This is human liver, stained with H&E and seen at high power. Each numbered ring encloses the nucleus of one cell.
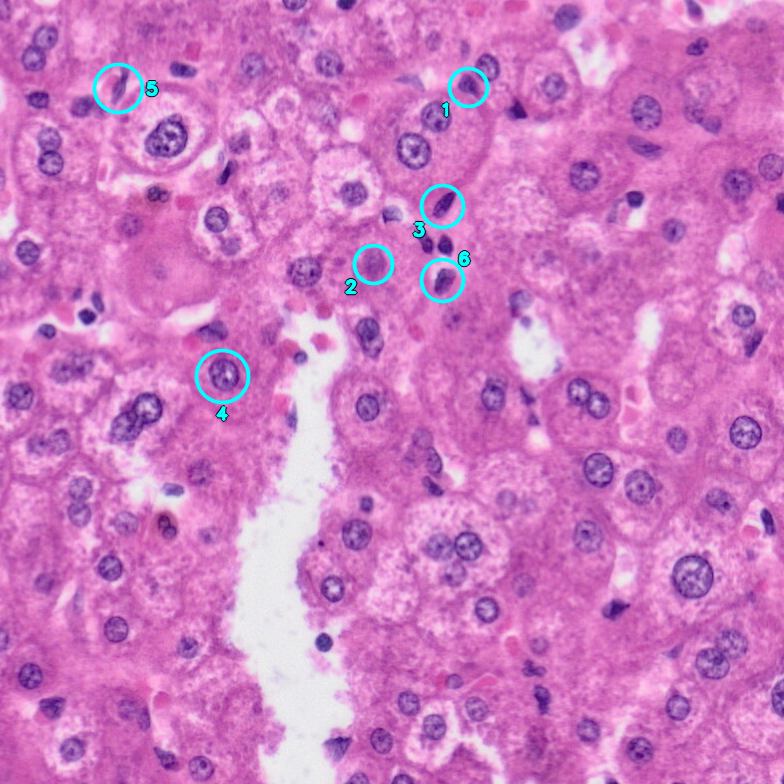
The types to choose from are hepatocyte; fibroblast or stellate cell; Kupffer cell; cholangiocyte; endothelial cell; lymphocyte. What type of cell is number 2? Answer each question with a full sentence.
Among the marked cells, number 2 is a hepatocyte.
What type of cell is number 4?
In this section, the cell tagged 4 is a hepatocyte.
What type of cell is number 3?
As for number 3, that cell is a fibroblast or stellate cell.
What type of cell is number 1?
The expected answer is that cell 1 is a fibroblast or stellate cell.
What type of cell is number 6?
In the marked set, the cell given number 6 is an endothelial cell.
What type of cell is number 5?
The cell whose nucleus carries the number 5 is an endothelial cell.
